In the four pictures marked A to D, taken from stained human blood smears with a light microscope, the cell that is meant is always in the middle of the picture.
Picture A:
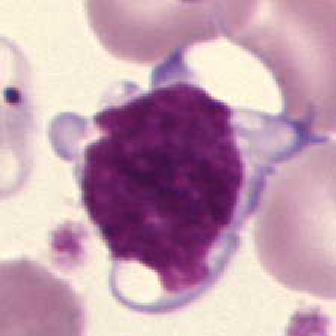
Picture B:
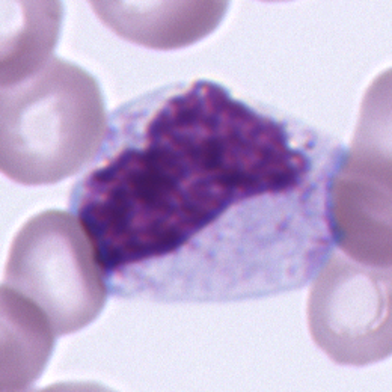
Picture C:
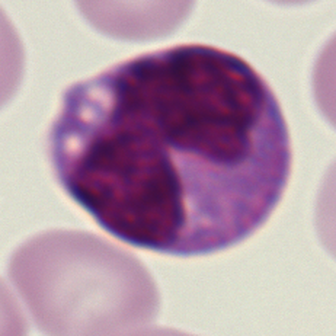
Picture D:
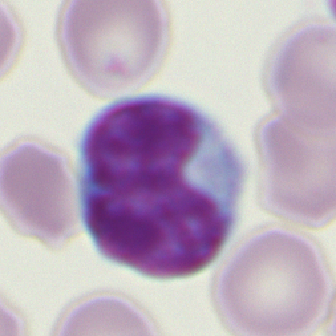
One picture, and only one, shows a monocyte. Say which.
C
